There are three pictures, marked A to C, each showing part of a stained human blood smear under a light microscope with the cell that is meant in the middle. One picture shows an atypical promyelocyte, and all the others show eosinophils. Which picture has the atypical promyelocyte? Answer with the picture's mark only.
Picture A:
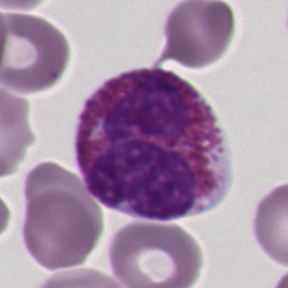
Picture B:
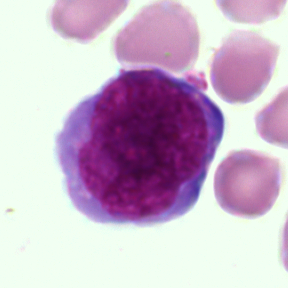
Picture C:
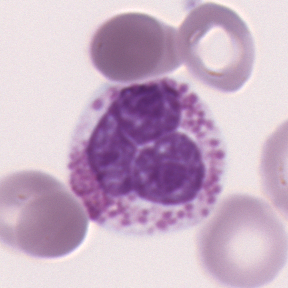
B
